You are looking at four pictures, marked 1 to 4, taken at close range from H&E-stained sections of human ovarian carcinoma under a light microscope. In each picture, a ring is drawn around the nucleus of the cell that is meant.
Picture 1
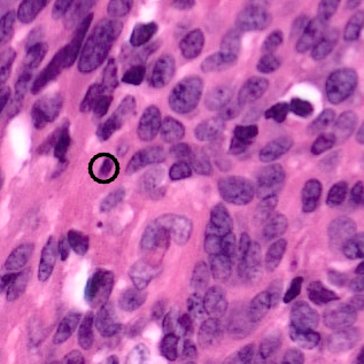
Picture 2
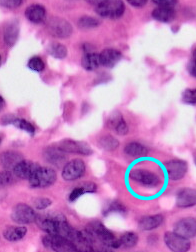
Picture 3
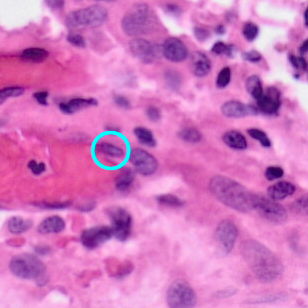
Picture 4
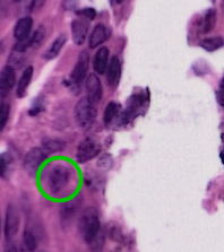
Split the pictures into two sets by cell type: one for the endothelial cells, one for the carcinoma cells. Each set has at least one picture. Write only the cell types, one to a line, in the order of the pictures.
endothelial cell
carcinoma cell
endothelial cell
carcinoma cell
